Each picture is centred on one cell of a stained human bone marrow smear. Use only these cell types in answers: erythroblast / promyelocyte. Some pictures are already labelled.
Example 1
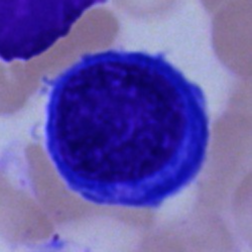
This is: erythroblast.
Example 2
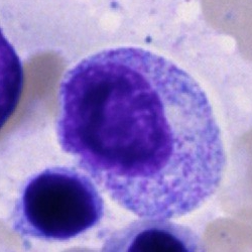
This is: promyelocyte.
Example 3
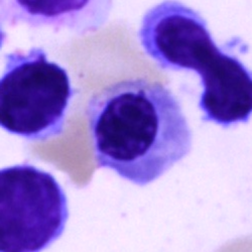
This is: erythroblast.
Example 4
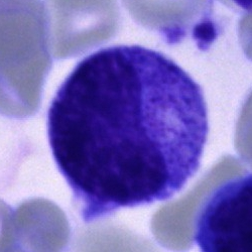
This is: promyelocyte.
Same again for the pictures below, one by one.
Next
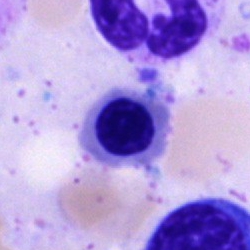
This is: erythroblast.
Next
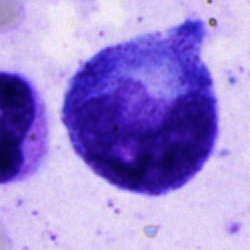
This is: promyelocyte.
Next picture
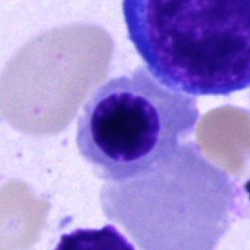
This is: erythroblast.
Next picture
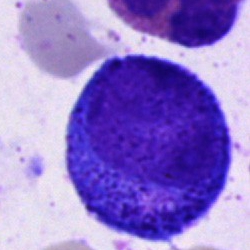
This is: promyelocyte.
